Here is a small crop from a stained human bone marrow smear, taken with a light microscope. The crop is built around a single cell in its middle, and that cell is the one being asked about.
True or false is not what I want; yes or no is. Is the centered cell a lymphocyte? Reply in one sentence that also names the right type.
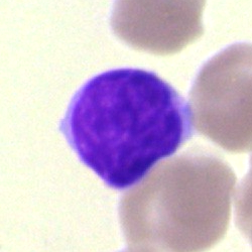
Yes, the middle cell is classified as a lymphocyte.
